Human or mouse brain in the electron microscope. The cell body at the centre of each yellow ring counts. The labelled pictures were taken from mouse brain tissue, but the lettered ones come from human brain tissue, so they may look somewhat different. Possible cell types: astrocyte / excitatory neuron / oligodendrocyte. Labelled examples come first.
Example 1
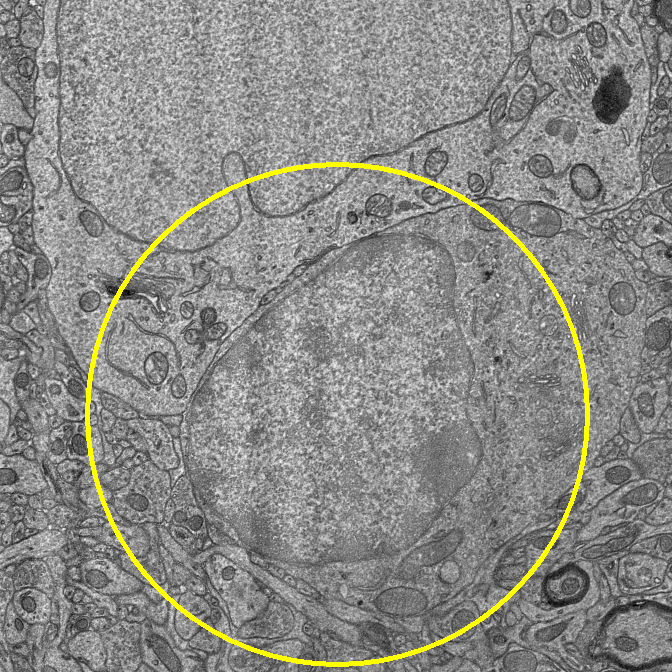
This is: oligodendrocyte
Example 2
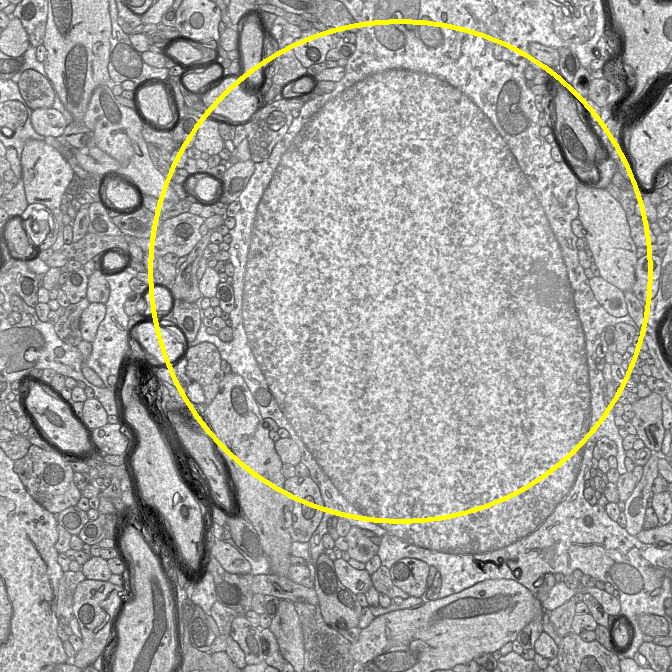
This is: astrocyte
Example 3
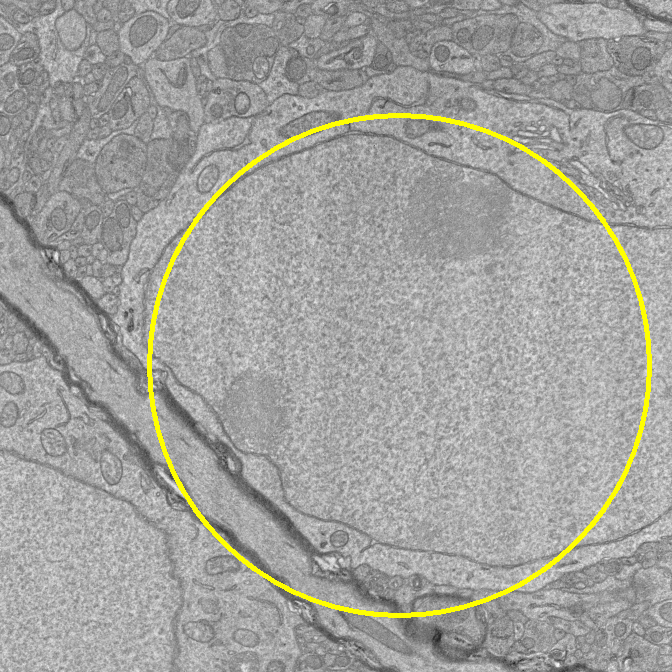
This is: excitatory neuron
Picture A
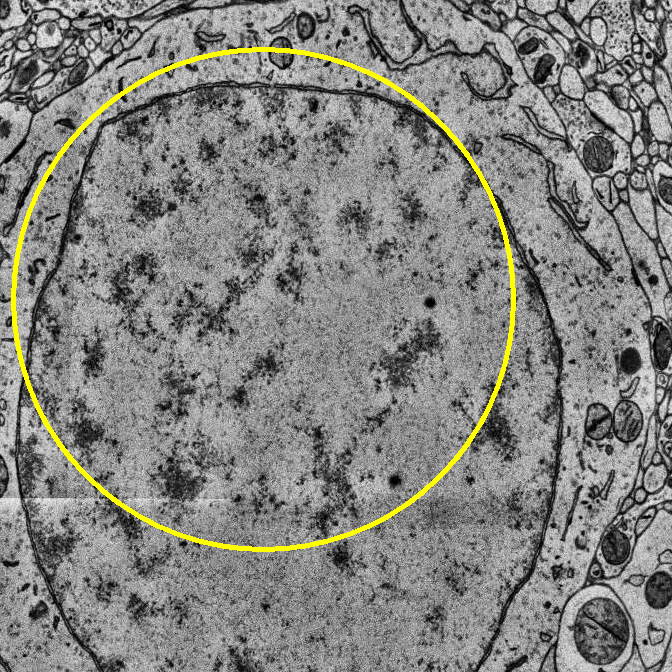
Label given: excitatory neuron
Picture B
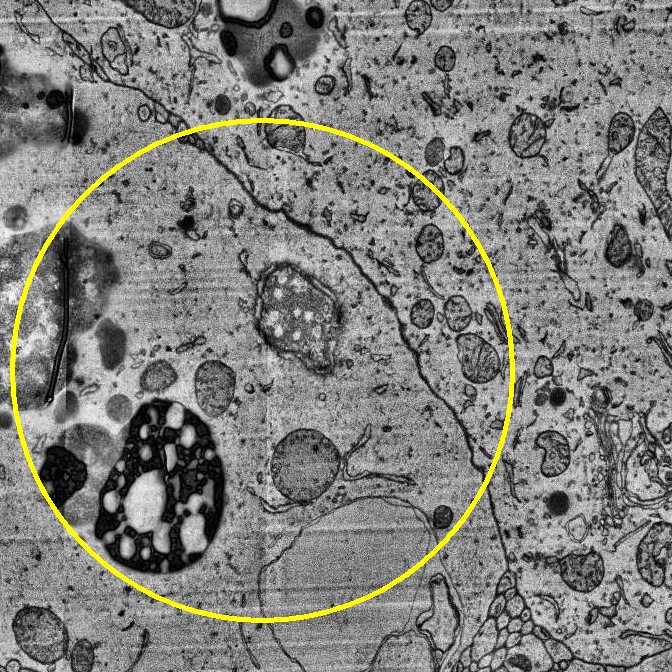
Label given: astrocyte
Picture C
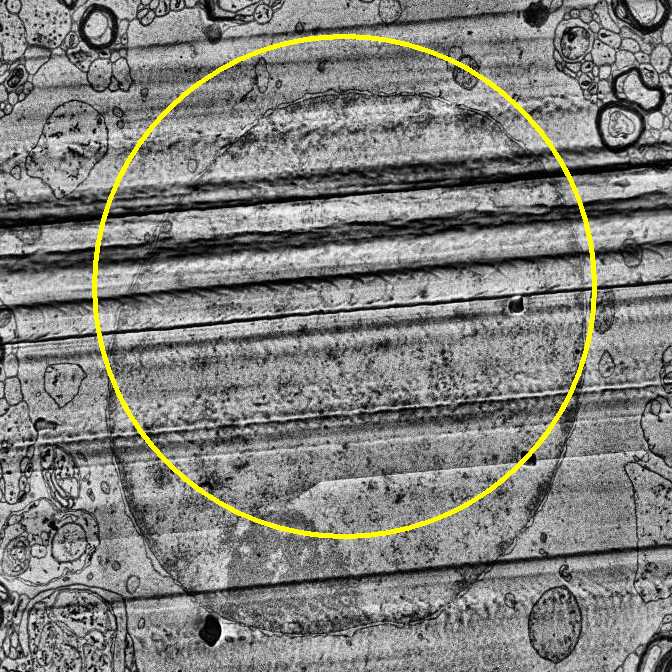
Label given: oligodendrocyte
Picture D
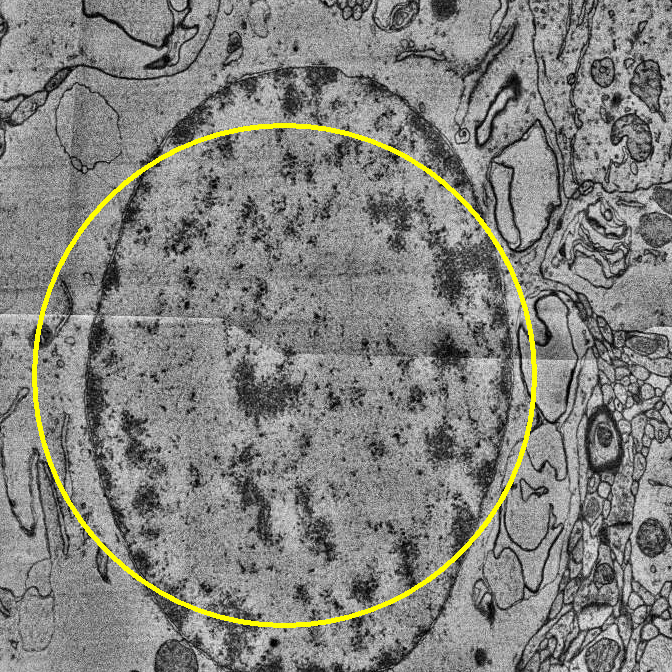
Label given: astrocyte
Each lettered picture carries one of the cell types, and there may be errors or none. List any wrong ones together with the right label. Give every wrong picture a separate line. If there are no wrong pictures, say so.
C: not oligodendrocyte but astrocyte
